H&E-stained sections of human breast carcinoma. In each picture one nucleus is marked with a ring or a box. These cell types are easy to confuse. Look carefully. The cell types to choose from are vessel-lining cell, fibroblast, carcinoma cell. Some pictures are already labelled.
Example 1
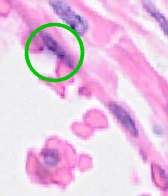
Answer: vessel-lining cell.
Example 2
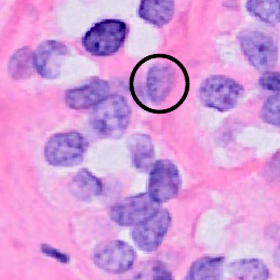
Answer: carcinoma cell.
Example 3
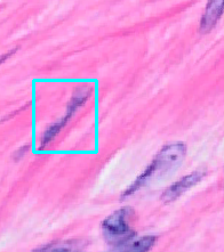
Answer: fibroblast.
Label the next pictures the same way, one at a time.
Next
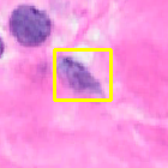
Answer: fibroblast.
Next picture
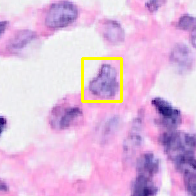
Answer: carcinoma cell.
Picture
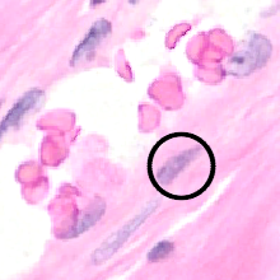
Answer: vessel-lining cell.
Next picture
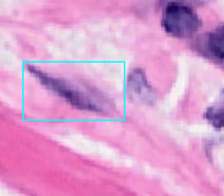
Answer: fibroblast.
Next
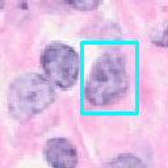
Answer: carcinoma cell.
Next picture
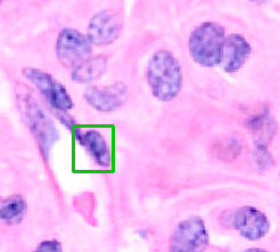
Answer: vessel-lining cell.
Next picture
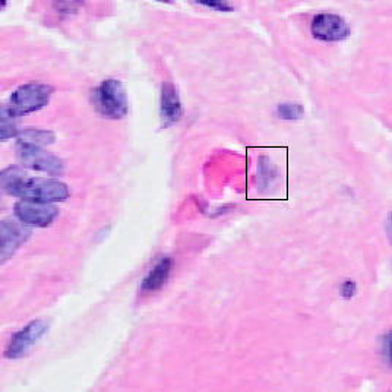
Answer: vessel-lining cell.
